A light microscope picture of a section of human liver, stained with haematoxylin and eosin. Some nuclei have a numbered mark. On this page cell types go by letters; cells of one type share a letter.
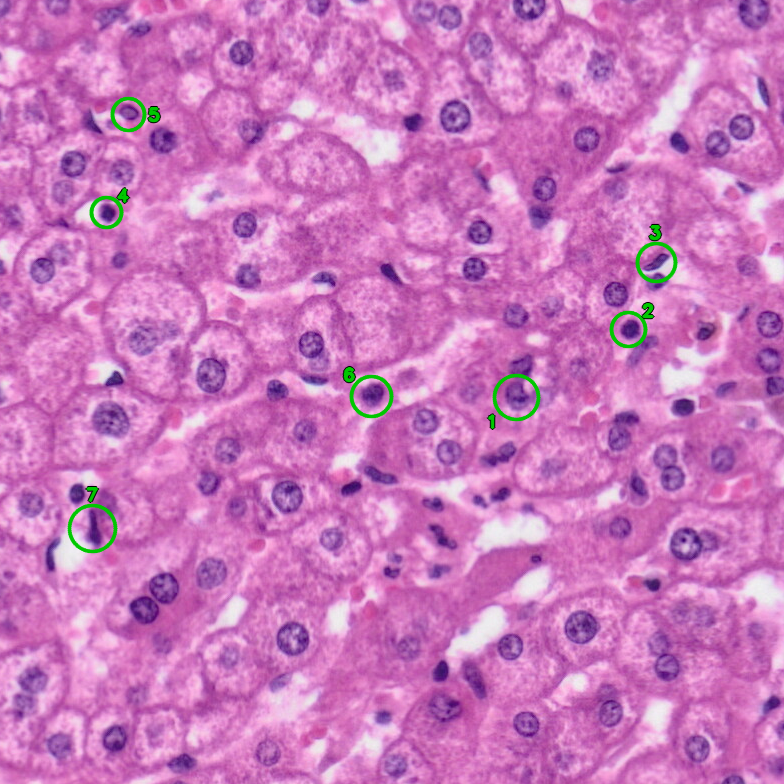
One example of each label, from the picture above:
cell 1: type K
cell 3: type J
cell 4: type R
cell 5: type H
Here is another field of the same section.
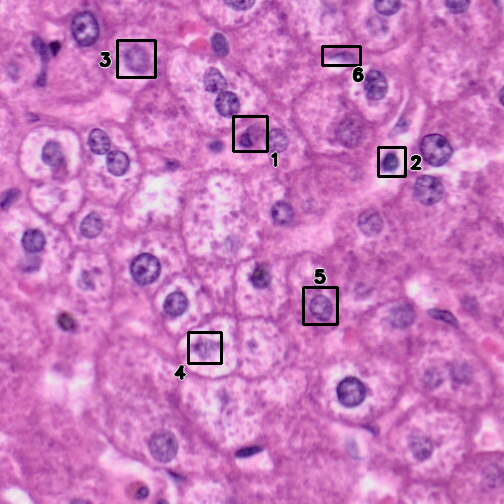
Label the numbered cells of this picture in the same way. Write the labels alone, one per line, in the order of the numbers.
type H
type R
type K
type K
type K
type J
